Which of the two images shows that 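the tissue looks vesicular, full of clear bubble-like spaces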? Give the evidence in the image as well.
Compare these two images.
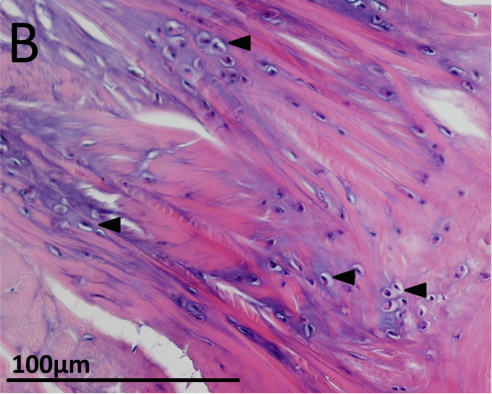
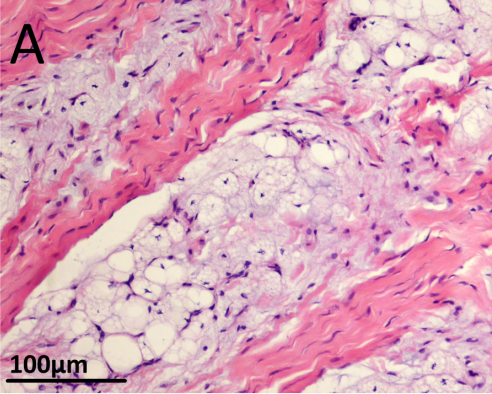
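Second image: large areas are filled with many clear rounded vacuole-like spaces of varying size. On this evidence: the second image.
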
